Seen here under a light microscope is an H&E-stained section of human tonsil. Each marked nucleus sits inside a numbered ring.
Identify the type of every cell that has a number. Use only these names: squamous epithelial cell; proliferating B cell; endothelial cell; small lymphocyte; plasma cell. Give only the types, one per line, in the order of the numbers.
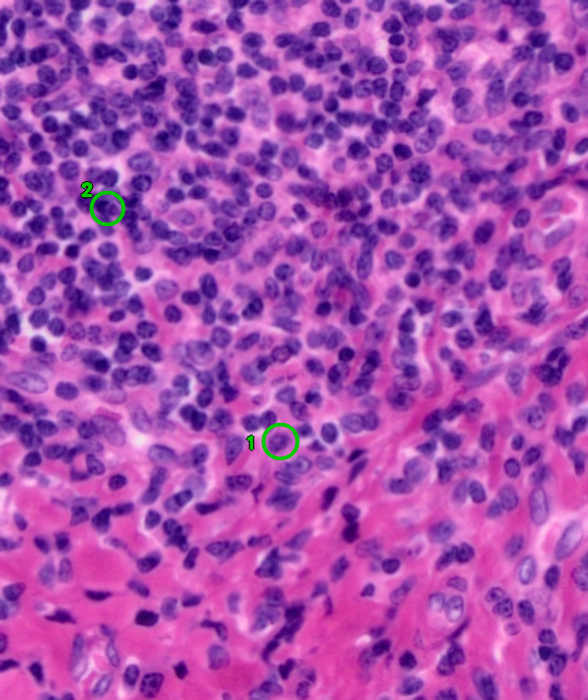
plasma cell
small lymphocyte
